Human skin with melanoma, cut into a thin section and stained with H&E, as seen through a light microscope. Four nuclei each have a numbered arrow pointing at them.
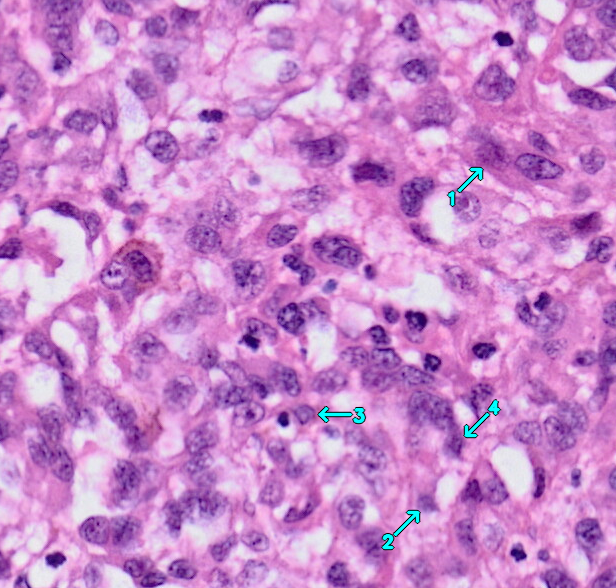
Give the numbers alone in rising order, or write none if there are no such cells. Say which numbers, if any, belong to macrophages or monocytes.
3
